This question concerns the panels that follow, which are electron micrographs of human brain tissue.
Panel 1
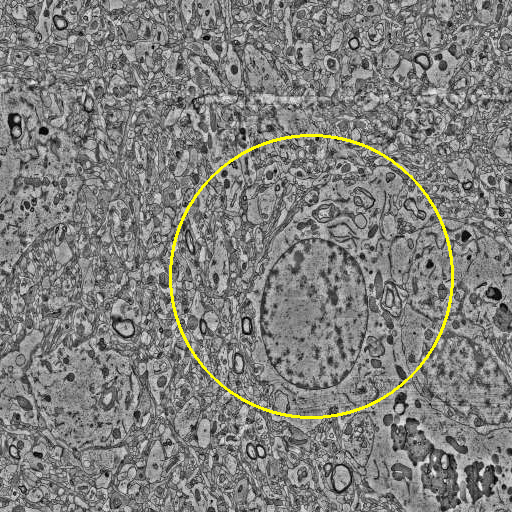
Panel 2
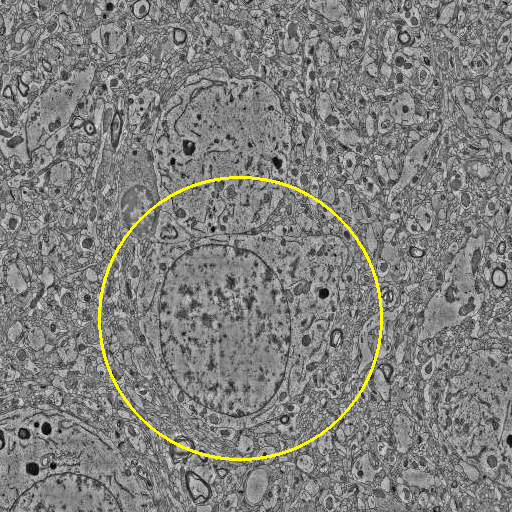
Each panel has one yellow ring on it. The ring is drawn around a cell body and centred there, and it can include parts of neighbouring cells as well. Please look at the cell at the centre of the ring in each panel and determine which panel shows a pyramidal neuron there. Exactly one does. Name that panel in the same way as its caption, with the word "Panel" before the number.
Panel 2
